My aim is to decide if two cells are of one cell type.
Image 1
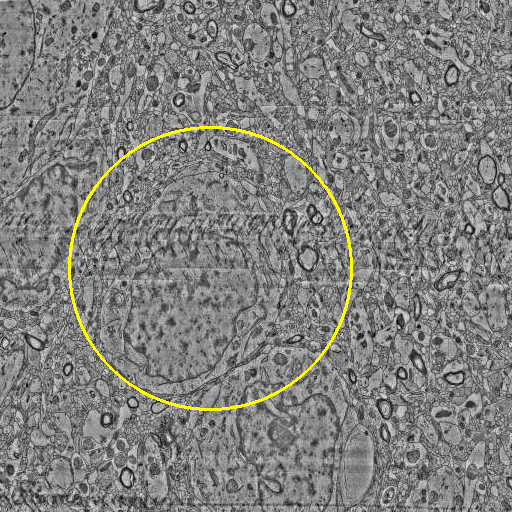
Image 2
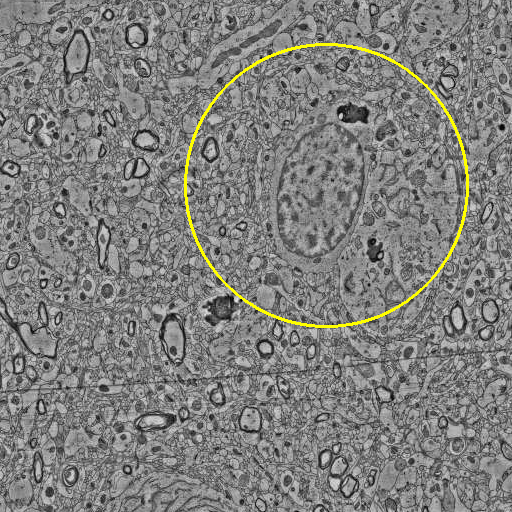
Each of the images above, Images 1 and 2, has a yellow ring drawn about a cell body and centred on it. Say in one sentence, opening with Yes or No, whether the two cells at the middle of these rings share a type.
No, in Images 1 and 2 the cells at the middle of the rings fall into two types.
